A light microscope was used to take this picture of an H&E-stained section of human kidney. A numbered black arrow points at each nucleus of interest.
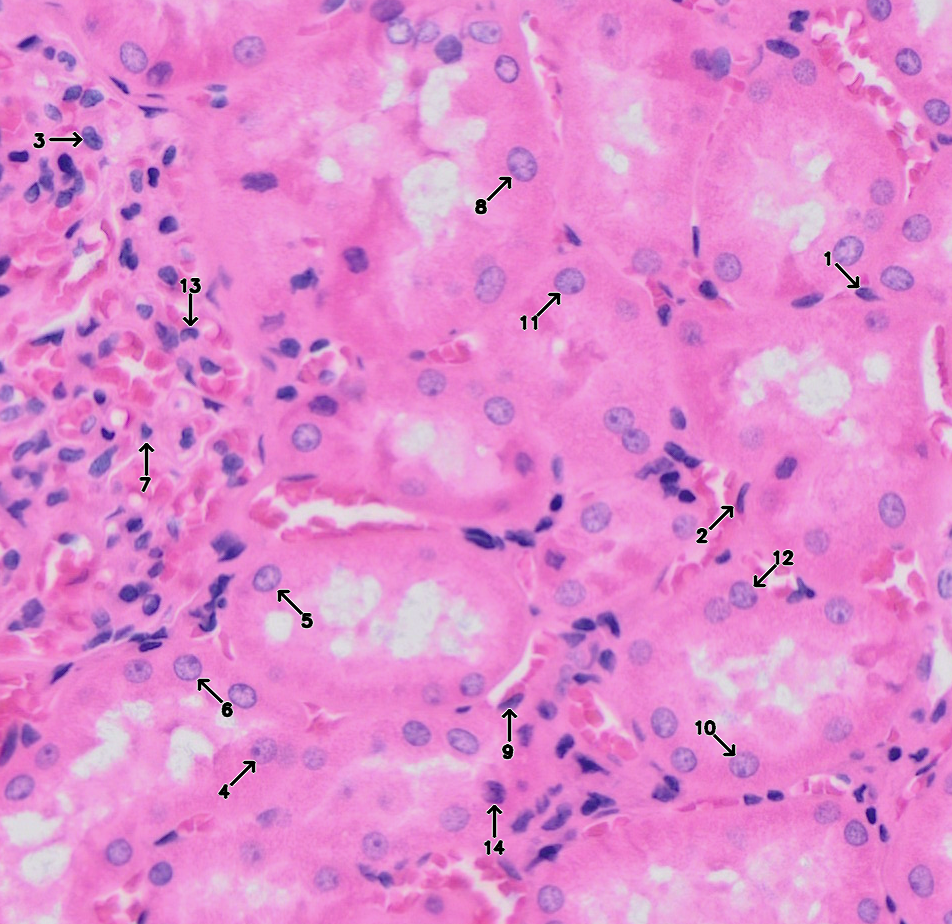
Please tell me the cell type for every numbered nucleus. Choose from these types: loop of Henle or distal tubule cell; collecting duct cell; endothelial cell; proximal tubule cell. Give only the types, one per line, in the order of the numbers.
endothelial cell
endothelial cell
endothelial cell
proximal tubule cell
proximal tubule cell
proximal tubule cell
endothelial cell
proximal tubule cell
endothelial cell
proximal tubule cell
proximal tubule cell
proximal tubule cell
endothelial cell
proximal tubule cell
